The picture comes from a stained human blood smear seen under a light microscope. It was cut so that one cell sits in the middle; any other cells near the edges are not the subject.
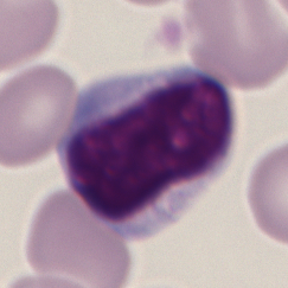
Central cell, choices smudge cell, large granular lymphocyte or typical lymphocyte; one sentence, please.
Answering briefly, the cell in the middle is a typical lymphocyte.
